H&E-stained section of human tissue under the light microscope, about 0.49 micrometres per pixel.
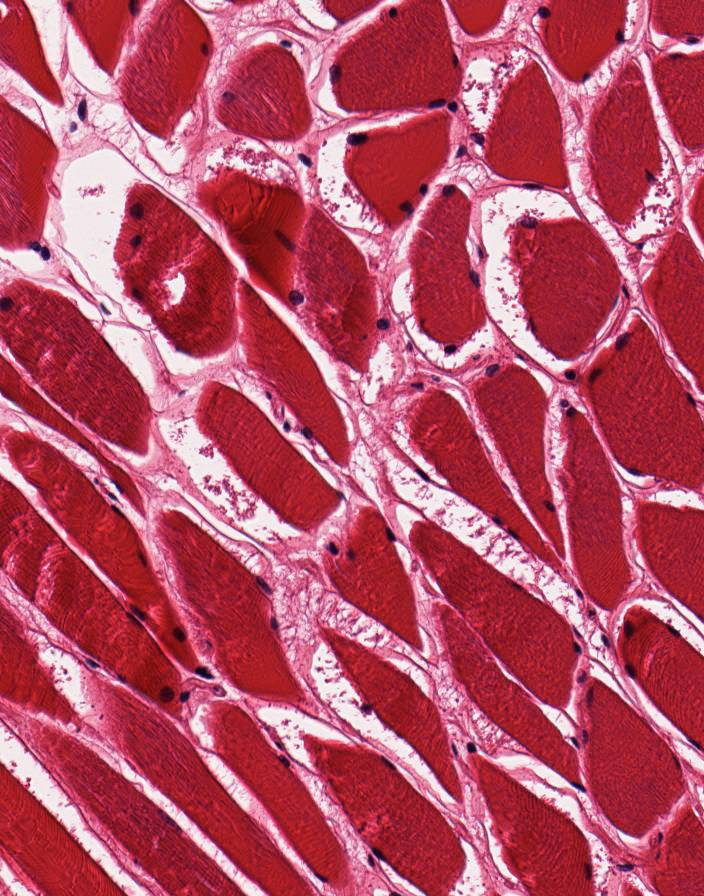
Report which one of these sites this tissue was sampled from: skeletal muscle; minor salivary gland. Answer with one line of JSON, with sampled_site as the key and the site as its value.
{"sampled_site": "skeletal muscle"}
